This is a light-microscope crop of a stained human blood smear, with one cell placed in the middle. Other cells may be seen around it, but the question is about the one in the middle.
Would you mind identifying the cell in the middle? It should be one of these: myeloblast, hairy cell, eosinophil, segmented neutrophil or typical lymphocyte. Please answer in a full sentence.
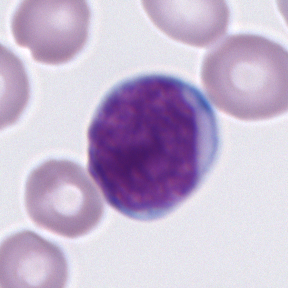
Present in the middle of the crop is a myeloblast.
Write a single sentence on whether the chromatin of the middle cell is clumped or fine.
Its chromatin is clumped in a coarse pattern.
